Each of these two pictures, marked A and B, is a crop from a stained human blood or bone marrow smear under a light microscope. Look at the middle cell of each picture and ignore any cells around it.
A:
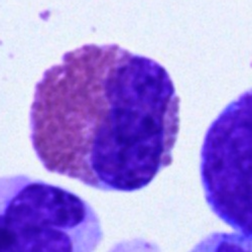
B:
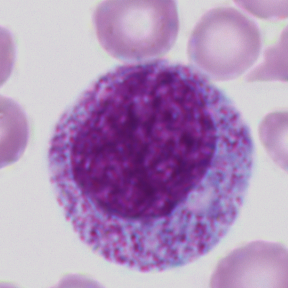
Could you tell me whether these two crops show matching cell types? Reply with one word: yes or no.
no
